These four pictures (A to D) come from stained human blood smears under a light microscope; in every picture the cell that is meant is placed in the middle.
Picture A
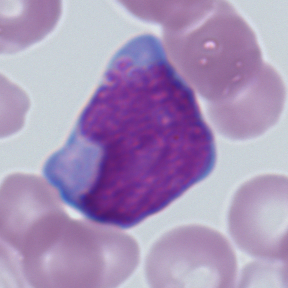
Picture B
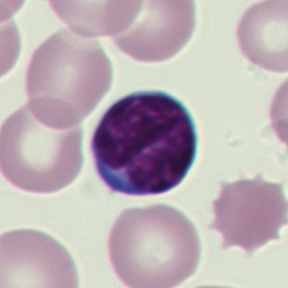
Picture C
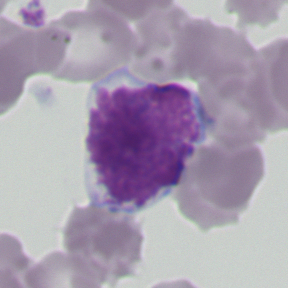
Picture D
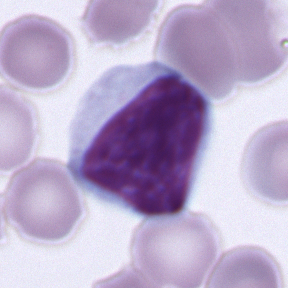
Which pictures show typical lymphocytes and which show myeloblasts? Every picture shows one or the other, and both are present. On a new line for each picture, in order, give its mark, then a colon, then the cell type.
A: myeloblast
B: typical lymphocyte
C: typical lymphocyte
D: typical lymphocyte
